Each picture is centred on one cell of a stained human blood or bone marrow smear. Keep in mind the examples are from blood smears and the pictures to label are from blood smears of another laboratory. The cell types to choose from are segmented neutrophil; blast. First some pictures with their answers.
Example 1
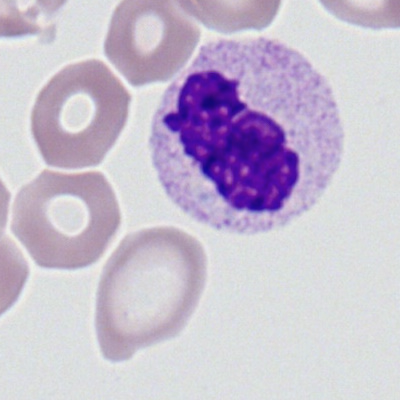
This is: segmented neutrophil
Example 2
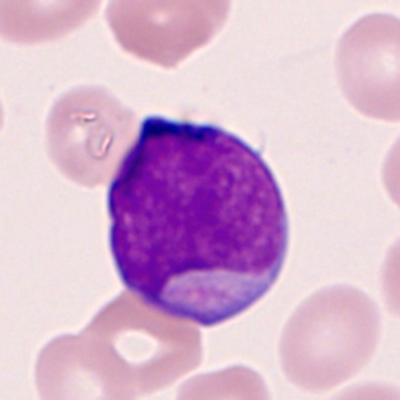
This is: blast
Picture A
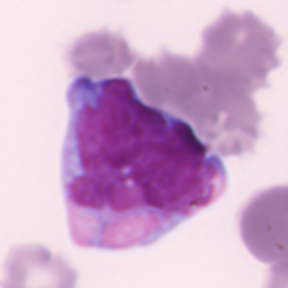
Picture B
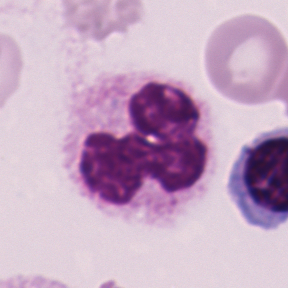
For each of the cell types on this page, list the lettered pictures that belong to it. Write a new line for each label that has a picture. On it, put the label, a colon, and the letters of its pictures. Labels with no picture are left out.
segmented neutrophil: B
blast: A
